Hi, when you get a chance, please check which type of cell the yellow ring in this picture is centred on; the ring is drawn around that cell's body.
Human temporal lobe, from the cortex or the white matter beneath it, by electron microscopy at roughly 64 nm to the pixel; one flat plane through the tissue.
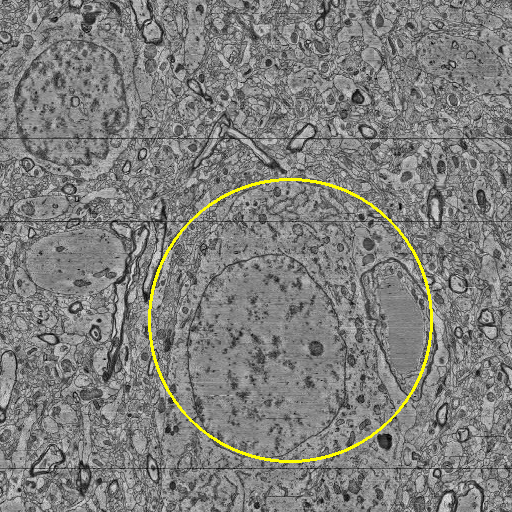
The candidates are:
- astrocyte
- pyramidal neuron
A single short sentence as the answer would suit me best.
The ring is drawn around the body of a pyramidal neuron.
